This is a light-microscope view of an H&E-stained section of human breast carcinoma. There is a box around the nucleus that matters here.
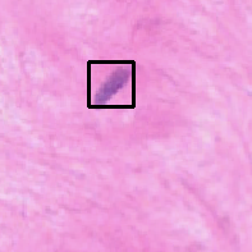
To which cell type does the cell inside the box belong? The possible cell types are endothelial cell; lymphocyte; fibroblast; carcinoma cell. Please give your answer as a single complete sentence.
In short, the cell inside the box on this section is a fibroblast.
